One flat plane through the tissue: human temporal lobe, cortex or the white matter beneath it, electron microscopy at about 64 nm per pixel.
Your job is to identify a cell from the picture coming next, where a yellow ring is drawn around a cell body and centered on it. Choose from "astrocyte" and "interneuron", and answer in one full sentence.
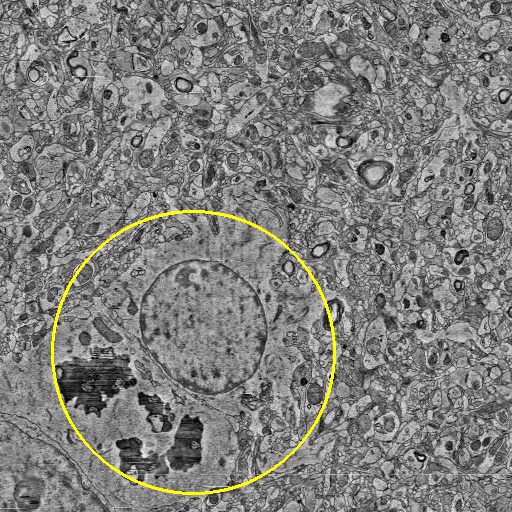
Centered in the yellow ring of the picture is the body of an astrocyte.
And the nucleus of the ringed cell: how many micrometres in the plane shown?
The nucleus is approximately 8 micrometers across in this plane.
